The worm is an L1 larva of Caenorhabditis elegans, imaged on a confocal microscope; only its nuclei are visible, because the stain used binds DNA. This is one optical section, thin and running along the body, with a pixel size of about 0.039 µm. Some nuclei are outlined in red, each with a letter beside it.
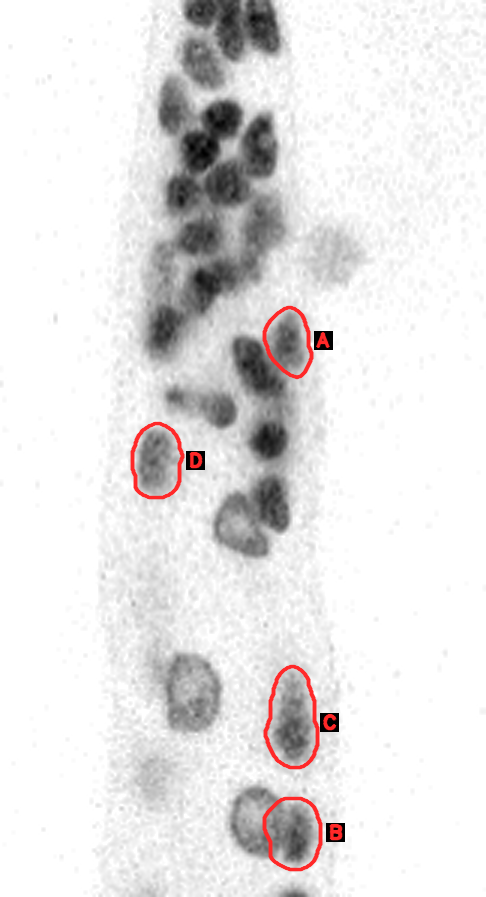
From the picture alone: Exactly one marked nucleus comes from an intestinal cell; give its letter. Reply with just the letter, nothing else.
D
